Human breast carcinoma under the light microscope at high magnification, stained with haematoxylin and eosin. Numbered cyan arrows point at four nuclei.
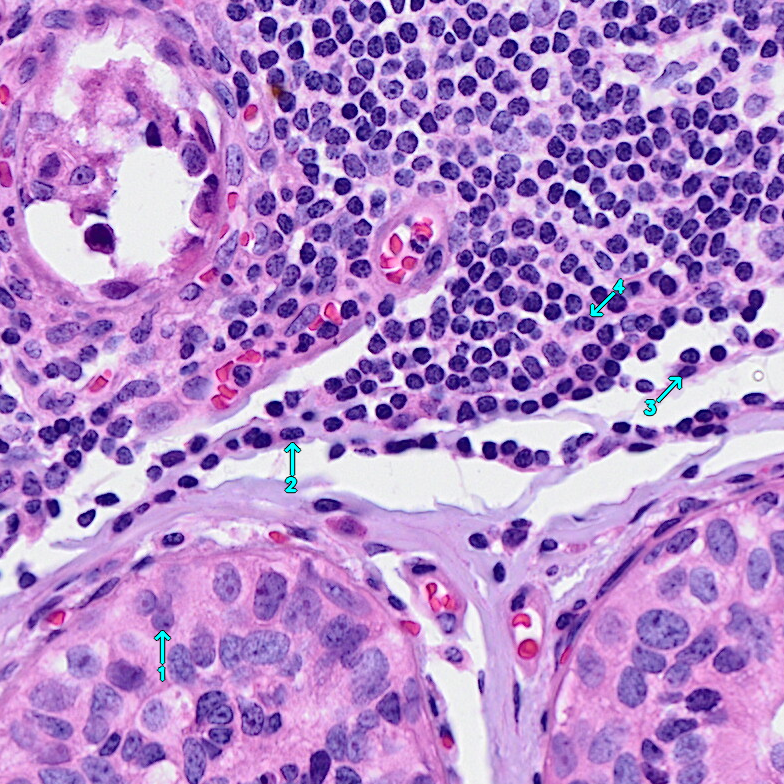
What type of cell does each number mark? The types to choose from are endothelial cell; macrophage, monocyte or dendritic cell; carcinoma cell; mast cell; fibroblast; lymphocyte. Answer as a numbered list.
1. carcinoma cell
2. lymphocyte
3. lymphocyte
4. lymphocyte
